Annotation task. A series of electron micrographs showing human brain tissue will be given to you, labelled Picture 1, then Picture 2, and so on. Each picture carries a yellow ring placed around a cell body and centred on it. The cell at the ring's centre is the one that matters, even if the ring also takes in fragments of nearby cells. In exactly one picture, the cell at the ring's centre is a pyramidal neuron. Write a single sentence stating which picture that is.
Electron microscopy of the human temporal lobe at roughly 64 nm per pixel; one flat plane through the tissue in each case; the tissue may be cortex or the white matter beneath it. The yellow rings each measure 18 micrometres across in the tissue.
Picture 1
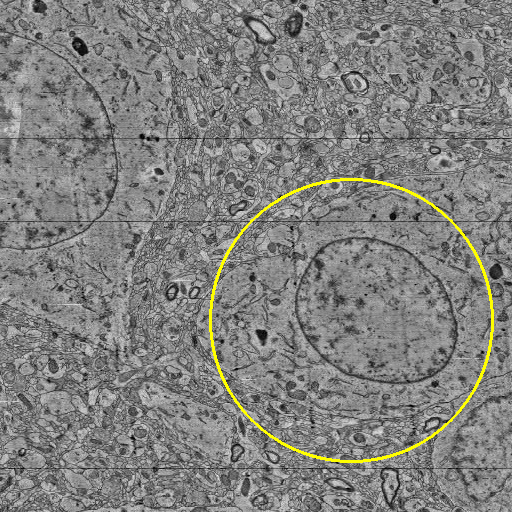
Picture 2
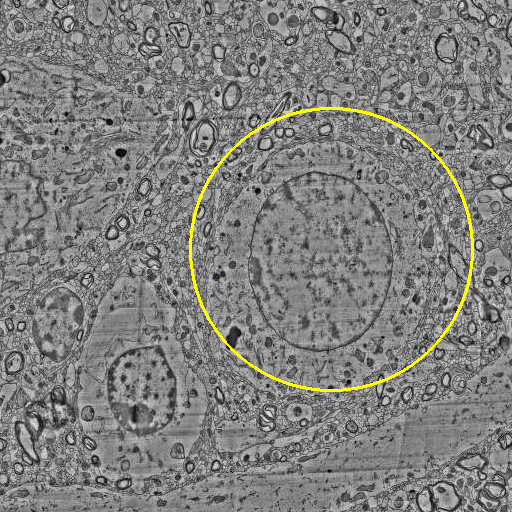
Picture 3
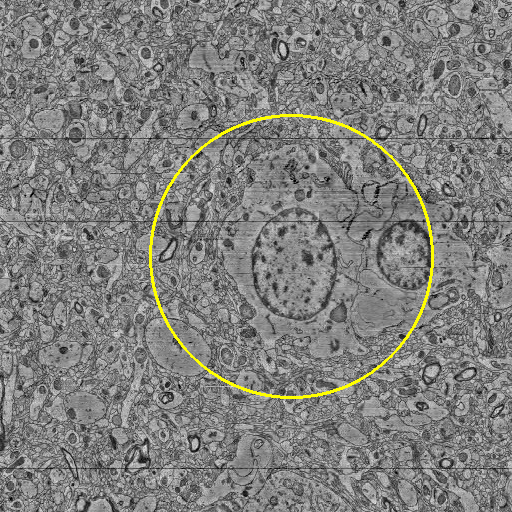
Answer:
Picture 1 holds the requested cell at the very centre of its ring.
